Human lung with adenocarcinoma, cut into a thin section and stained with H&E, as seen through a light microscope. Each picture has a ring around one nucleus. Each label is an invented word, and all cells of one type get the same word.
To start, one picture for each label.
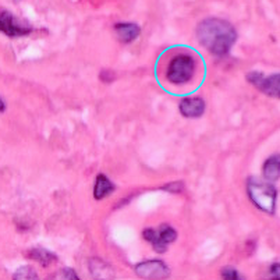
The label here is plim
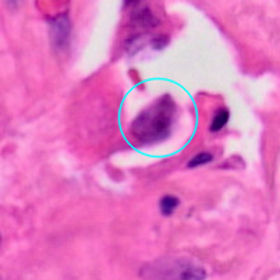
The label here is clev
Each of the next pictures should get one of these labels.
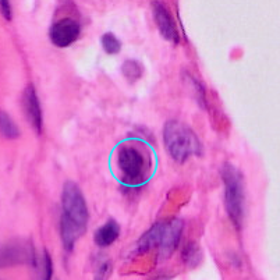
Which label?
plim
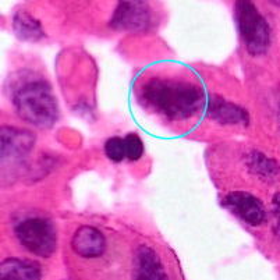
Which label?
clev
